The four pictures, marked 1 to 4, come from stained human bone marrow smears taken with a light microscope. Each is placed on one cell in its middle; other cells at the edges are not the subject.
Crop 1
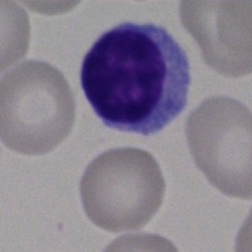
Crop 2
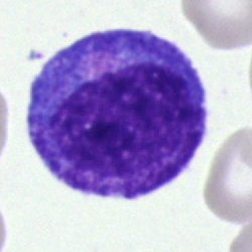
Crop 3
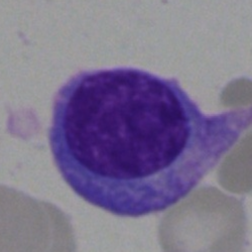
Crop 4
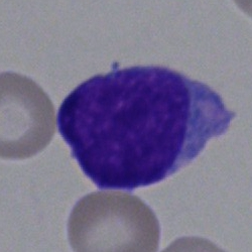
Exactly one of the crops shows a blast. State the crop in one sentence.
Crop 4 is the right one; it is the crop showing a blast.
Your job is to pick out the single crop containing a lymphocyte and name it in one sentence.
The crop bearing a lymphocyte is crop 1.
